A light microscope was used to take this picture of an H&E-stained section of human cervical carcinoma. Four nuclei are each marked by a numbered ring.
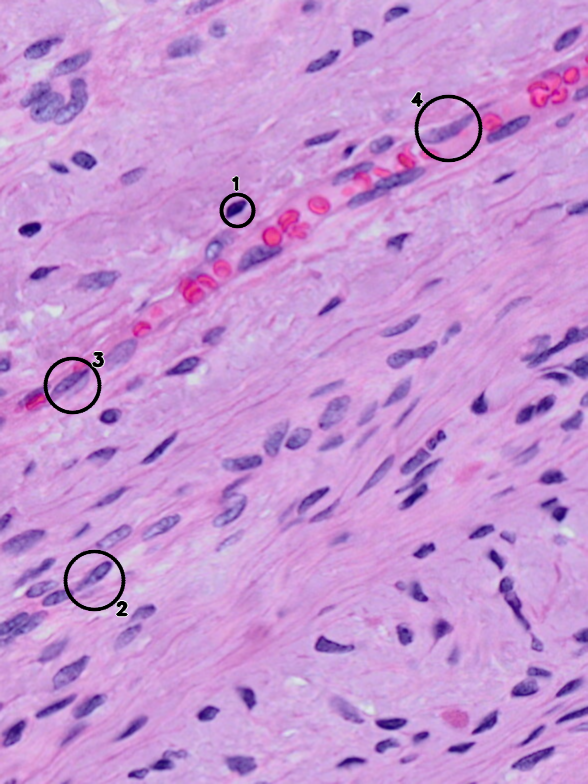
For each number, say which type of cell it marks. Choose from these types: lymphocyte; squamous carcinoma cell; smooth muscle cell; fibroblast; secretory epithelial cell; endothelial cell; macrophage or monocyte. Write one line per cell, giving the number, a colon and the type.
1: lymphocyte
2: endothelial cell
3: endothelial cell
4: endothelial cell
